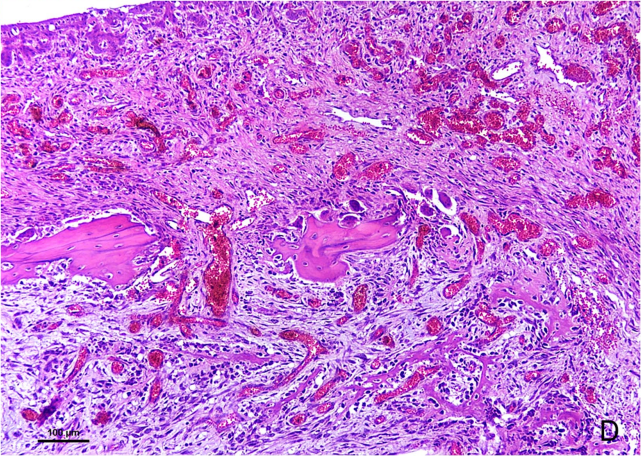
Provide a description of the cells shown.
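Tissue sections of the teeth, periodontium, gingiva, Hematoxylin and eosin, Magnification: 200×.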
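Alveolar bone undergoing resorption within a cellular, highly vascular stroma. Irregular fragments of pink woven bone lie scattered in the lower half. In the center, large multinucleated osteoclasts sit against scalloped bone surfaces in resorption pits. Toward the bottom, thin irregular newly formed trabeculae are lined by plump osteoblasts. The surrounding stroma consists of spindle cells and numerous small vessels congested with red blood cells, giving a crowded, disorganized appearance.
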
